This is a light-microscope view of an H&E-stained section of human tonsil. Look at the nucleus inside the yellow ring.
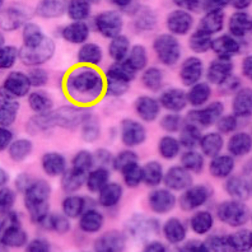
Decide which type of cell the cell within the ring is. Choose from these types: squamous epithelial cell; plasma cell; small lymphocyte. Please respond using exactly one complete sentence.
Within the stained tissue, the cell within the ring is a small lymphocyte.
